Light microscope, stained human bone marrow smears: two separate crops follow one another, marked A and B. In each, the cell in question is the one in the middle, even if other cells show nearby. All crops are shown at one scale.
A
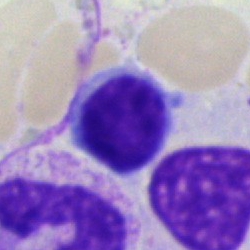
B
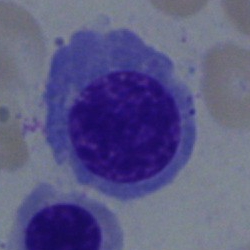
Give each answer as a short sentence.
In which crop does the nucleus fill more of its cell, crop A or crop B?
Of the two, the nucleus in crop A makes up the greater part of its cell.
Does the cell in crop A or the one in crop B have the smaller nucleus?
Smaller is the nucleus in crop A, and the other is about 1.5 times as large in area.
